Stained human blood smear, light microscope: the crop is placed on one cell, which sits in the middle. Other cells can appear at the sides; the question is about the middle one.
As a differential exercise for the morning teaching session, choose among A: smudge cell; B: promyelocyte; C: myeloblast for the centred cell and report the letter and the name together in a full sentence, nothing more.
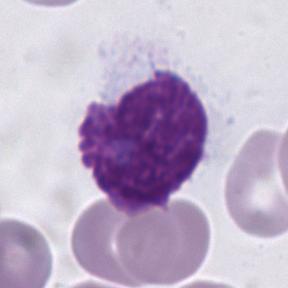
Option A is correct in that the central cell is a smudge cell.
